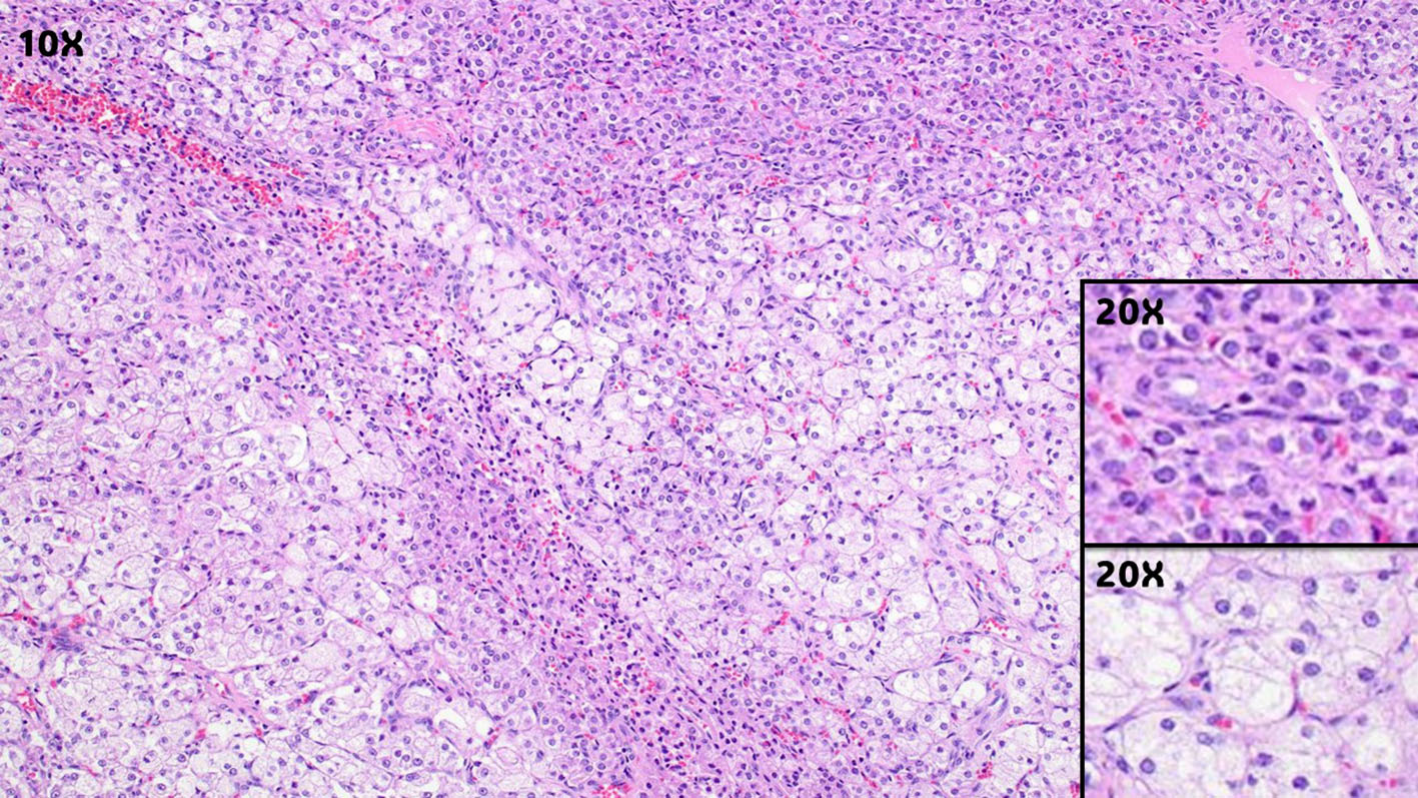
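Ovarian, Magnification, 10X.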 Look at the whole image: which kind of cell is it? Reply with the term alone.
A: epithelioid to polygonal cell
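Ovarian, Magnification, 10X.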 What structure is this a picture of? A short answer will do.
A: solid sheets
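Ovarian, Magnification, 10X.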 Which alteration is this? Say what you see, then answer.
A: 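Sheets of polygonal cells with pink to clear, vacuolated lipid-like cytoplasm. Round, uniform central nuclei. Delicate vascular network between cell groups.
Steroid cell tumor.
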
